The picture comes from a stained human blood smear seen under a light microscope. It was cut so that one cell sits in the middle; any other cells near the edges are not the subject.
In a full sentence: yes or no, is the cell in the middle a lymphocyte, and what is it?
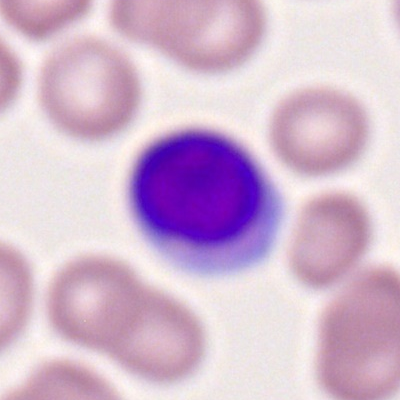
Yes, in this crop the cell in the middle is a lymphocyte.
